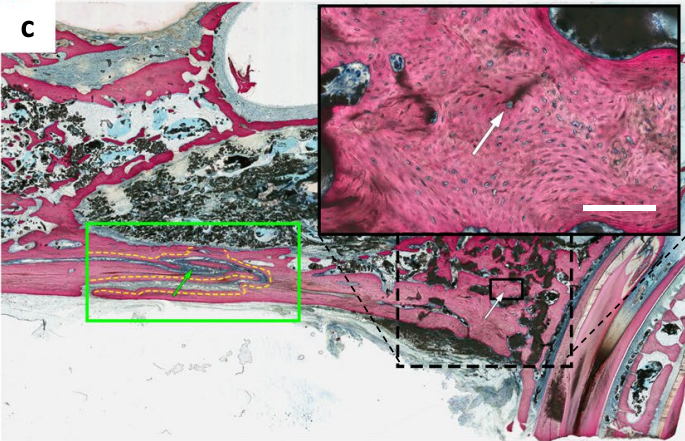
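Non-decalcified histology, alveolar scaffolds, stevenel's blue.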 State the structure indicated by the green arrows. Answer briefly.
Patent sutures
